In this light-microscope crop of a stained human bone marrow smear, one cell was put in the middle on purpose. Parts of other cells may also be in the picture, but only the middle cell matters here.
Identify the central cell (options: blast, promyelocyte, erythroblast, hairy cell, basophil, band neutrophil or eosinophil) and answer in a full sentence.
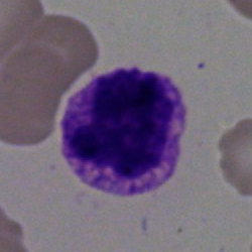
The cell around which this crop is centred is a basophil.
